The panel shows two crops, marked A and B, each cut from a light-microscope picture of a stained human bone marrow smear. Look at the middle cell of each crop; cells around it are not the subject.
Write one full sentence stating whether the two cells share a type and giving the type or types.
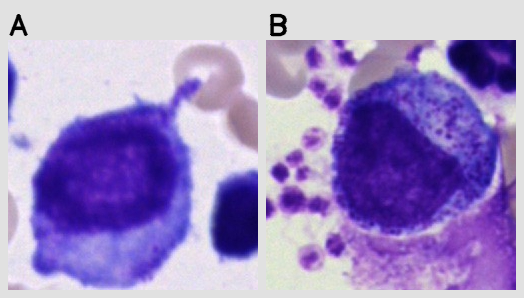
Yes, in the case of both crops, the central cells are promyelocytes.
